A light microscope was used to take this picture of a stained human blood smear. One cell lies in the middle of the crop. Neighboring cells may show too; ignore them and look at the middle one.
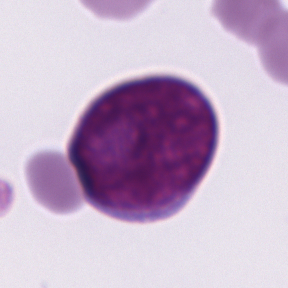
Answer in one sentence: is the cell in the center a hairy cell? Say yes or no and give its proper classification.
No, instead of a hairy cell, the centred cell represents a myeloblast.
